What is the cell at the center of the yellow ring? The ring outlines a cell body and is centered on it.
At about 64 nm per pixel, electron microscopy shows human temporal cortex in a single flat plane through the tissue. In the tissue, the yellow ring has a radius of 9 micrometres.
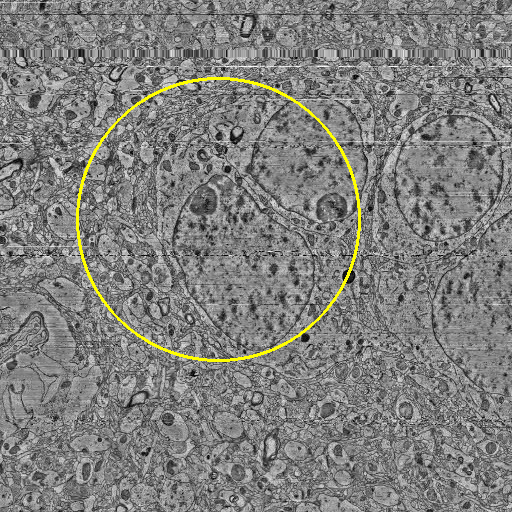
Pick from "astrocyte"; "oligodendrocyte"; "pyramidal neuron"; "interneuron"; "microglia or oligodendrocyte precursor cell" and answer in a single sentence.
The yellow ring is centered on a pyramidal neuron.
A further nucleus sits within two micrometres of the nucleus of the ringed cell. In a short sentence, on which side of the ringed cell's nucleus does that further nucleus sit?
That other nucleus is above it.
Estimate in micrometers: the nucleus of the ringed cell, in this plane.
In this plane, the nucleus of the cell at the centre of the ring measures about 12 by 9 micrometres.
